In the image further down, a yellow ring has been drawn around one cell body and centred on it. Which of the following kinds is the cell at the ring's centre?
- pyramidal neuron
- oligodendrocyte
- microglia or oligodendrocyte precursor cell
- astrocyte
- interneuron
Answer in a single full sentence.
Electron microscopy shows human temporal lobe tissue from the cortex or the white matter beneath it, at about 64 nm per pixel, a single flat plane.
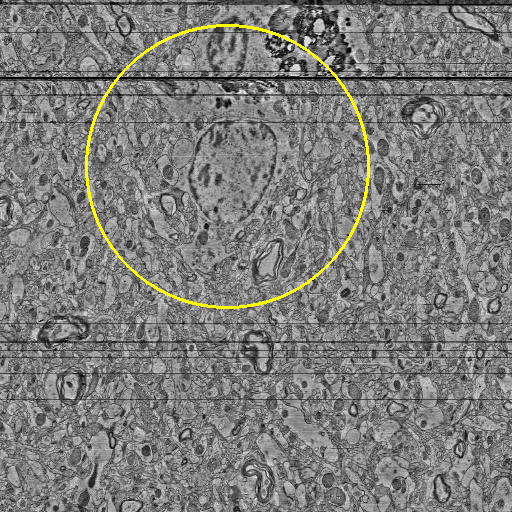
In the picture, the cell sitting at the centre of the yellow ring is an astrocyte.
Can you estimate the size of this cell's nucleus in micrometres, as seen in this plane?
In this plane, about 7 micrometres in length and 5 in width.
